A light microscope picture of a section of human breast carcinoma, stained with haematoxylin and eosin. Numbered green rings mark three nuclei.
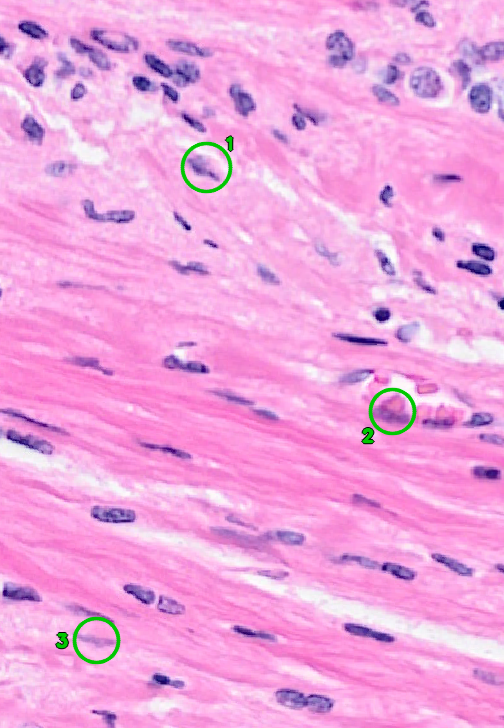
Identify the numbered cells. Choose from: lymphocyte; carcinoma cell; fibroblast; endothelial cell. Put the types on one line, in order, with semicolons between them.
fibroblast; endothelial cell; fibroblast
